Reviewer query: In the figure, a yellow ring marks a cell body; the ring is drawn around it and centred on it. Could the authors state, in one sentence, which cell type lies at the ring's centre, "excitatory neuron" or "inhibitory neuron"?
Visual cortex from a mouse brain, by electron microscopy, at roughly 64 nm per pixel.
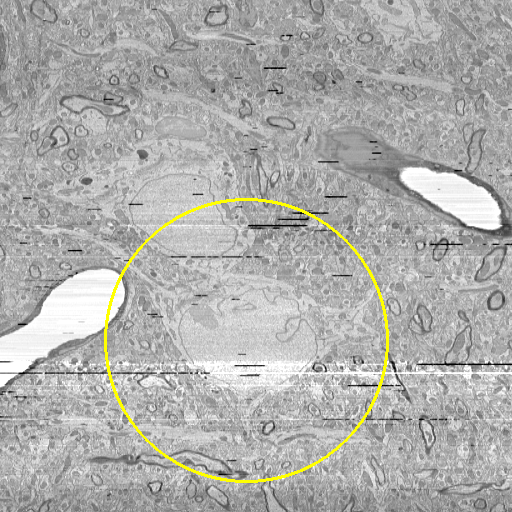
The ring is centred on an inhibitory neuron.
